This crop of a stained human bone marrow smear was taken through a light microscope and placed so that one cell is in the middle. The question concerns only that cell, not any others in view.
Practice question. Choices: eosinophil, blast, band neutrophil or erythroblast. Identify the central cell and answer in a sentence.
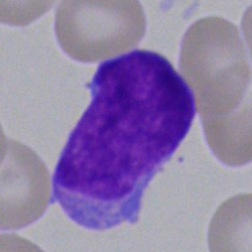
Centrally within this crop lies a blast.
